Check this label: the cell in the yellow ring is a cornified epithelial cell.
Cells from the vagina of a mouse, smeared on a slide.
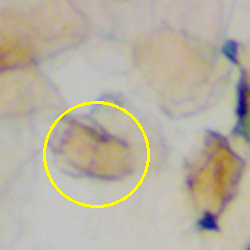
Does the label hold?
The label holds; the cell is a cornified epithelial cell.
